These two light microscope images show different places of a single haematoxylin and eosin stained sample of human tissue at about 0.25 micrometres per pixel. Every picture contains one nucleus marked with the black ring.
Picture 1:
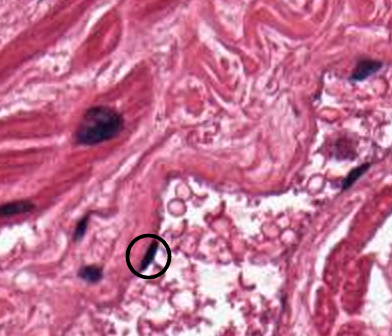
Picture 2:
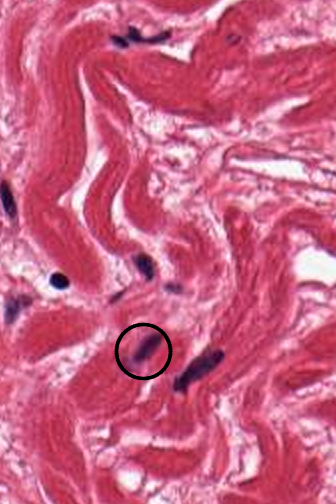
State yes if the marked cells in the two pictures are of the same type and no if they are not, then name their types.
No, the first is an endothelial cell and the second a cardiomyocyte.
